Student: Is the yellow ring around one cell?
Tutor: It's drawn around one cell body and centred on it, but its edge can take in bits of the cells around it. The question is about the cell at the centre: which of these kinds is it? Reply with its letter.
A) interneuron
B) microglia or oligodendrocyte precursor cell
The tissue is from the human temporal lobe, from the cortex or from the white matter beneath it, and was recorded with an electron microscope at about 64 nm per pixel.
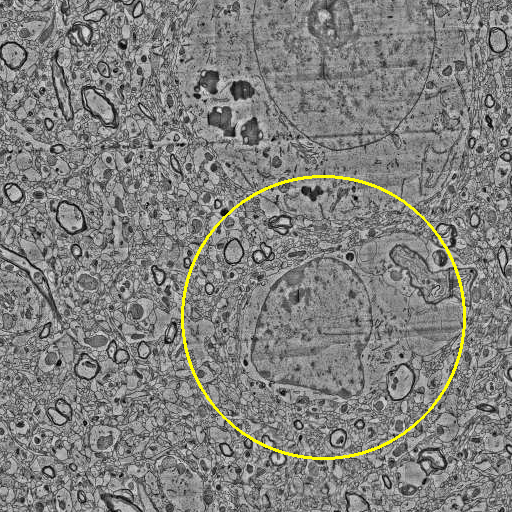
B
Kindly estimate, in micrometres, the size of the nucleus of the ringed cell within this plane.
The nucleus is about 8 micrometres across in this plane.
